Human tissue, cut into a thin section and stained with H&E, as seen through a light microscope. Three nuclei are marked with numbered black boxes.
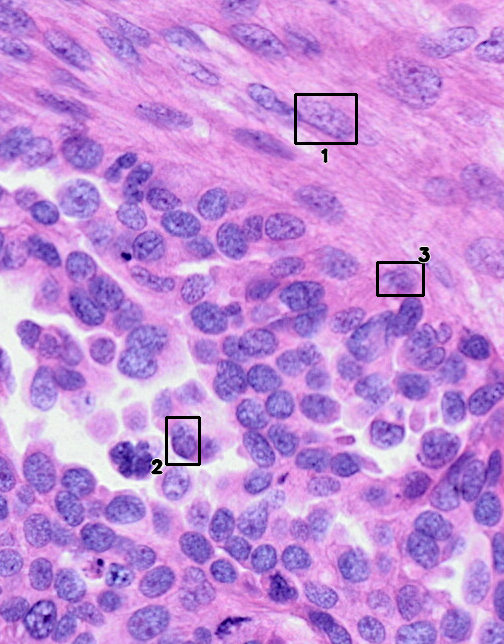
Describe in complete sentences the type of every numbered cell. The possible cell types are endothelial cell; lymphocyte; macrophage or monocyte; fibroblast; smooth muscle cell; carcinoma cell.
Cell 1 is a fibroblast, cell 2 is a carcinoma cell and cell 3 is a fibroblast.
